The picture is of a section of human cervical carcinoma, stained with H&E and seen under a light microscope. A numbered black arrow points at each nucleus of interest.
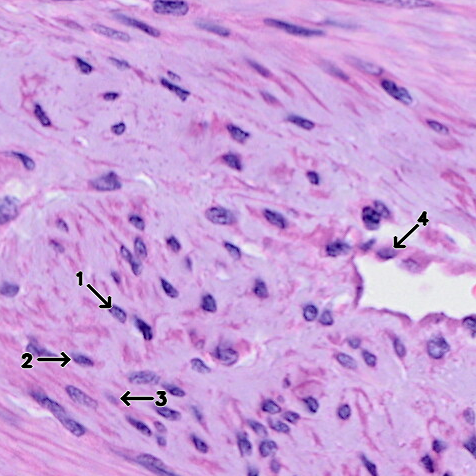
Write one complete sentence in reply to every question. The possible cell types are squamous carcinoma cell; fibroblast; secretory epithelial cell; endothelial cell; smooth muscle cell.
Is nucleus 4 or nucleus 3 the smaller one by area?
The smaller nucleus is 3, and 4 covers roughly 1.5 times its area.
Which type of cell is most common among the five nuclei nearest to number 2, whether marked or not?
Around number 2, most of the five nearest nuclei are those of smooth muscle cells.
